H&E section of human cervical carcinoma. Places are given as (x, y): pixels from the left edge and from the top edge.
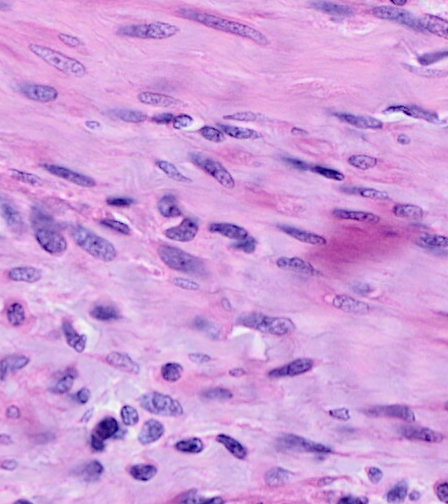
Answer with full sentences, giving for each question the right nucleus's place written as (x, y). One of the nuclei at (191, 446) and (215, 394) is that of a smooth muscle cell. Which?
Of the two, the nucleus lying at (215, 394) is the one belonging to a smooth muscle cell.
